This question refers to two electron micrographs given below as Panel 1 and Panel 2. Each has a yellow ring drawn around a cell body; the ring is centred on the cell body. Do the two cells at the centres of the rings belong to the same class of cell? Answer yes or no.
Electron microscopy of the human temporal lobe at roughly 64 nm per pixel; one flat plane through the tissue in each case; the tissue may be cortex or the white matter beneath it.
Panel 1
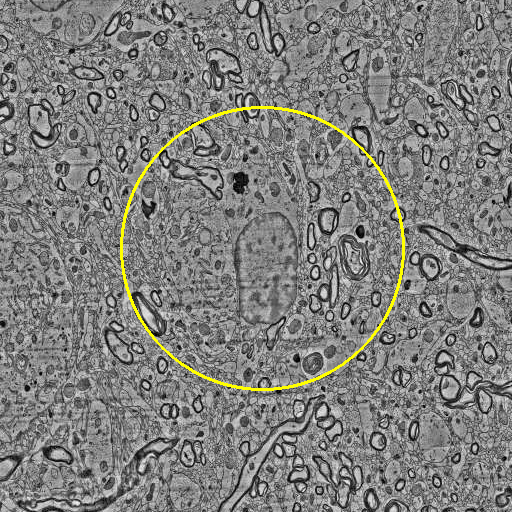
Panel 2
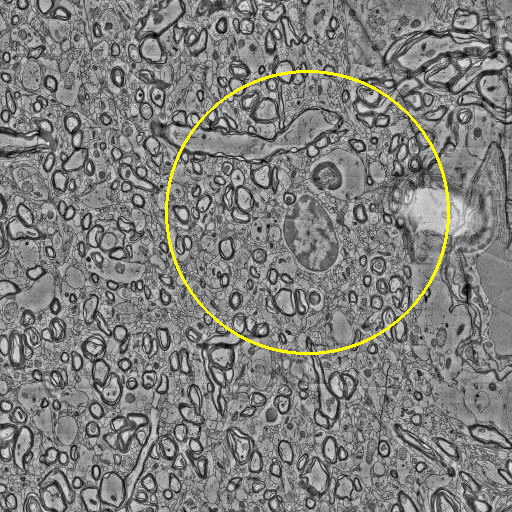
no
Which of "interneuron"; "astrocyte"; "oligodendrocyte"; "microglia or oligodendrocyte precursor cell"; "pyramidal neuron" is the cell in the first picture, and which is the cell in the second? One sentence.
The two differ: the first cell is an oligodendrocyte and the second is a microglial cell or oligodendrocyte precursor cell.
